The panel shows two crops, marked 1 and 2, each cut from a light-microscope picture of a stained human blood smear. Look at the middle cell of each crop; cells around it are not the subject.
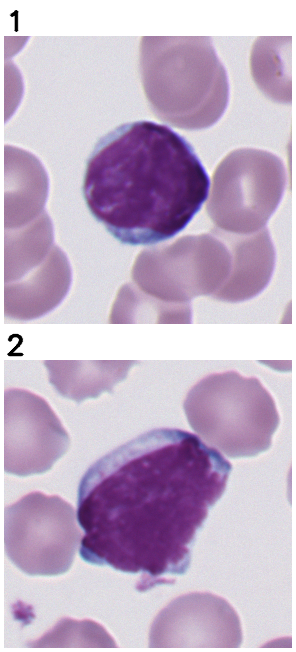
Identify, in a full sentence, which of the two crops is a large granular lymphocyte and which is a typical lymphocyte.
In crop 1 the cell is a typical lymphocyte, while in crop 2 it is a large granular lymphocyte.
